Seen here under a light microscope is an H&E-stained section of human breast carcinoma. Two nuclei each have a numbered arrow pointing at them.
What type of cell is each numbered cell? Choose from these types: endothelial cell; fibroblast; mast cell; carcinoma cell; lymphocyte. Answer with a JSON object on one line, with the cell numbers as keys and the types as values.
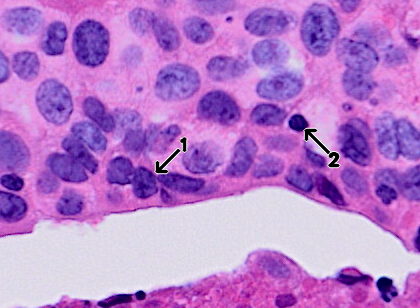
{"1": "carcinoma cell", "2": "lymphocyte"}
